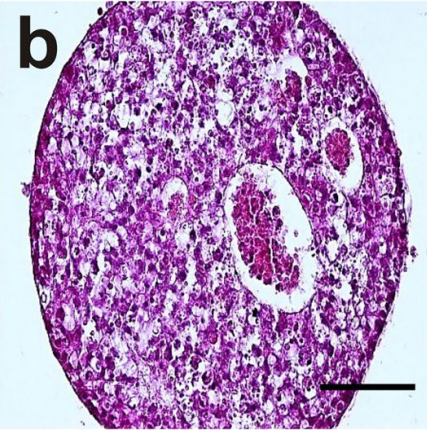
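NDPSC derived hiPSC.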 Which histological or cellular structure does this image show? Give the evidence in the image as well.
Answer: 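Blood islands. A central oval space lined by a thin cell layer. The space contains a cluster of red-stained cells. Smaller round spaces also hold red-stained cells.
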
